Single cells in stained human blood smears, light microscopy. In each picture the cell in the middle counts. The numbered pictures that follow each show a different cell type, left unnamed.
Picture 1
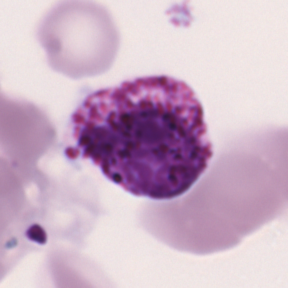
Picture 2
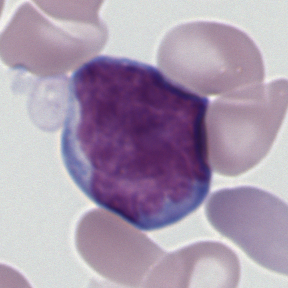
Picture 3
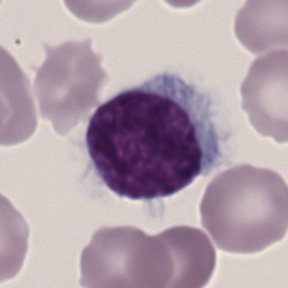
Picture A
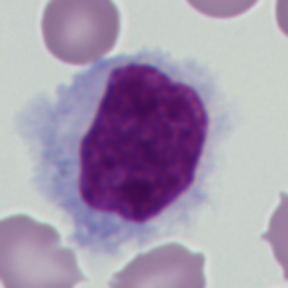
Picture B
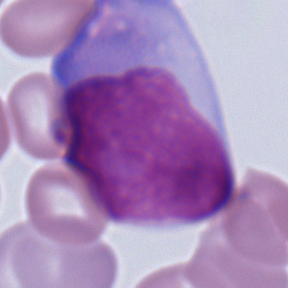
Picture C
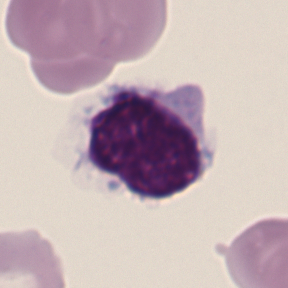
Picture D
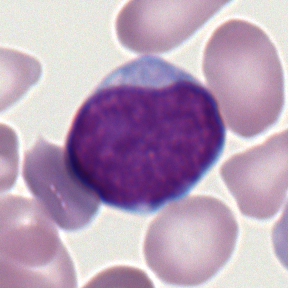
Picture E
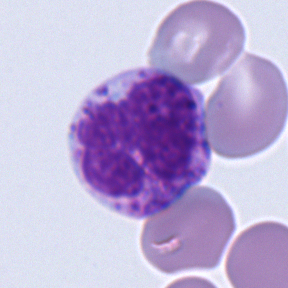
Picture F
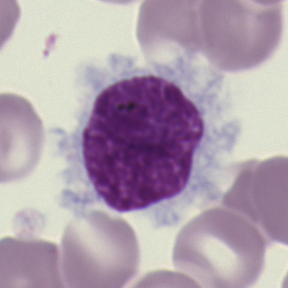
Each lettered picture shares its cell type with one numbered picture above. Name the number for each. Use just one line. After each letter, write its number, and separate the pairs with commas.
A 3, B 2, C 3, D 2, E 1, F 3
